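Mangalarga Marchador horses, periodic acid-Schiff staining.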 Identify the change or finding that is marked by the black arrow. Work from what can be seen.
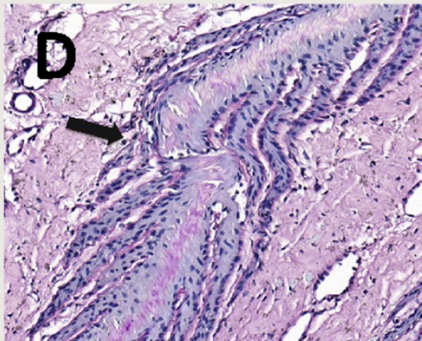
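Areas of discontinuity. The epithelial band is bent and broken where the arrow points. The segments on either side do not line up.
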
